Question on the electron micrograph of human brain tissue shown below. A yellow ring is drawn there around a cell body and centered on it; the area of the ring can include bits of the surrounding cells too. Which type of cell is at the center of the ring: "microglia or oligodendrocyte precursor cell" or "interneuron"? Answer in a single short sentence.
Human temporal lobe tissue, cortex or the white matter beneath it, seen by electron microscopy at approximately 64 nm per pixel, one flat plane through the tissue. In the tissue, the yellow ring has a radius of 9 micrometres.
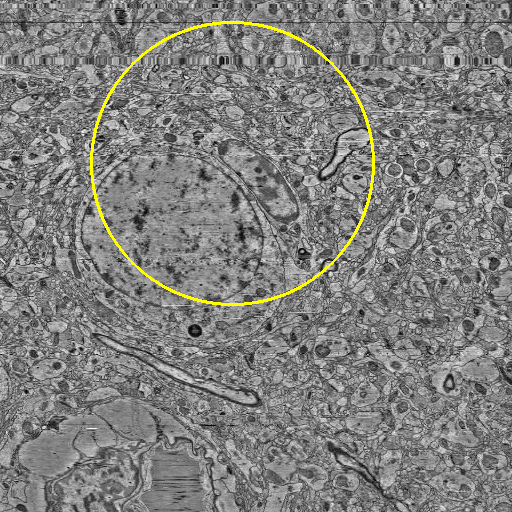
The ring is centered on a microglial cell or oligodendrocyte precursor cell.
